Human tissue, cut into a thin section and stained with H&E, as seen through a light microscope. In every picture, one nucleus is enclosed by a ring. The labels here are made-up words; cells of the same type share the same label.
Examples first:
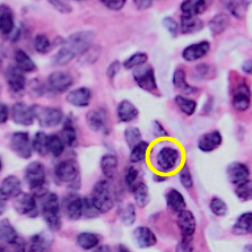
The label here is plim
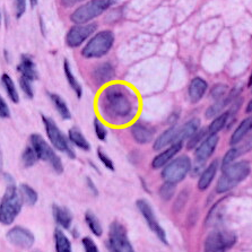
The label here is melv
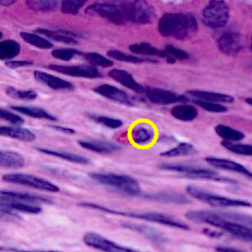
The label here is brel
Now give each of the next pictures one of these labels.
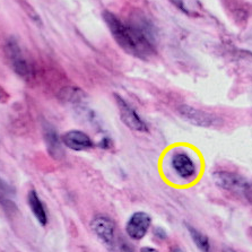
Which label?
plim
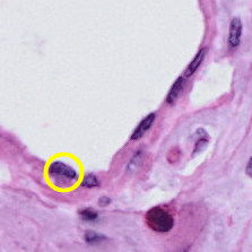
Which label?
brel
